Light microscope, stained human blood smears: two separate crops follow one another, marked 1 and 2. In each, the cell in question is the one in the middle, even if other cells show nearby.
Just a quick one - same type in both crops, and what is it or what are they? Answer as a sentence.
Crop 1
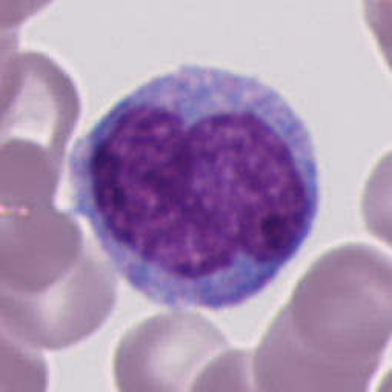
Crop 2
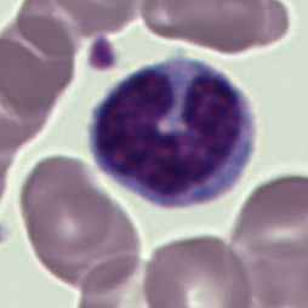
Yes, both of the crops show monocytes.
